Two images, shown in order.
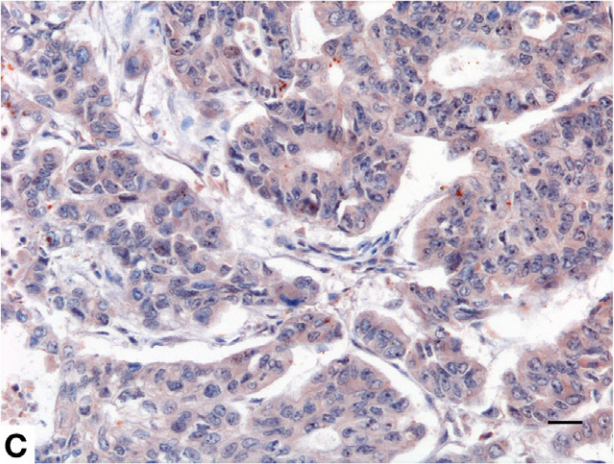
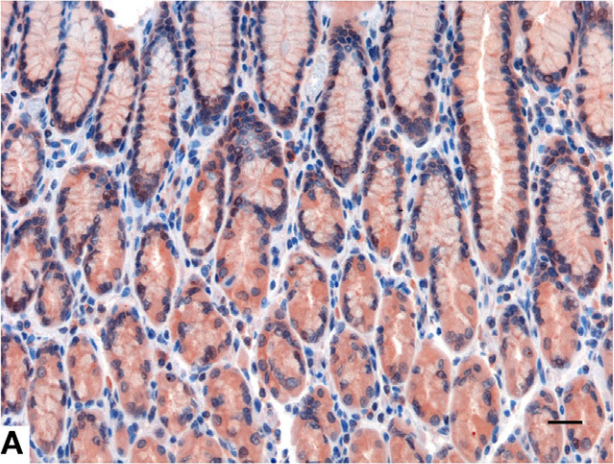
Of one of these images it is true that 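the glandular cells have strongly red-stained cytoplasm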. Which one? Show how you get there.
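First image: tumour cells show only faint pinkish cytoplasm. Second image: gland cells show intense red cytoplasm.
Conclusion: the second image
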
